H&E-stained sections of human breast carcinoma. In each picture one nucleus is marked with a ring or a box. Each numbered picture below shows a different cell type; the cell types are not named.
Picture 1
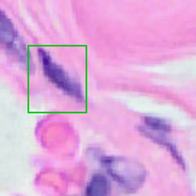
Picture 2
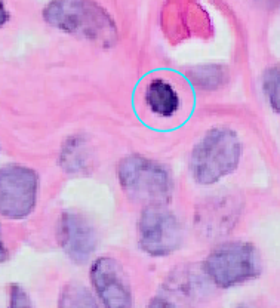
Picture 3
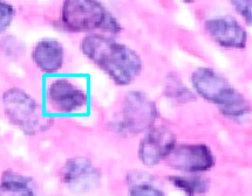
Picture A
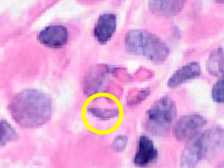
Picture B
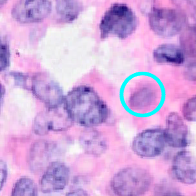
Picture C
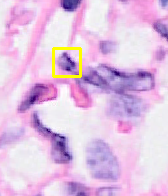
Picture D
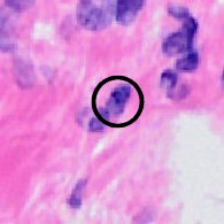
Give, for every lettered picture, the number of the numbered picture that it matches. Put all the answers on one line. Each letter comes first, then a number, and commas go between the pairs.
A 1, B 3, C 1, D 2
